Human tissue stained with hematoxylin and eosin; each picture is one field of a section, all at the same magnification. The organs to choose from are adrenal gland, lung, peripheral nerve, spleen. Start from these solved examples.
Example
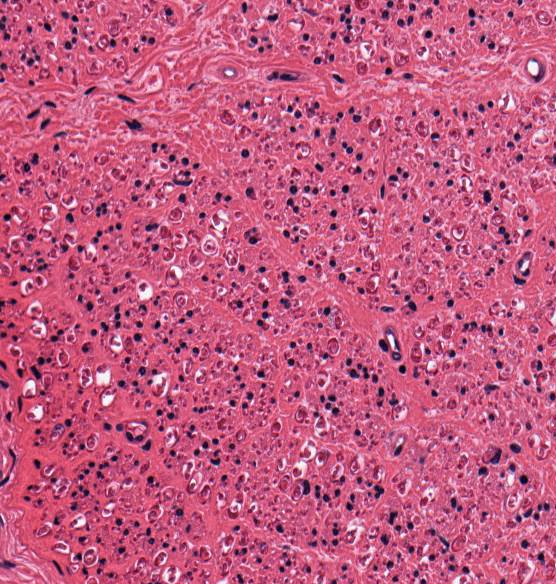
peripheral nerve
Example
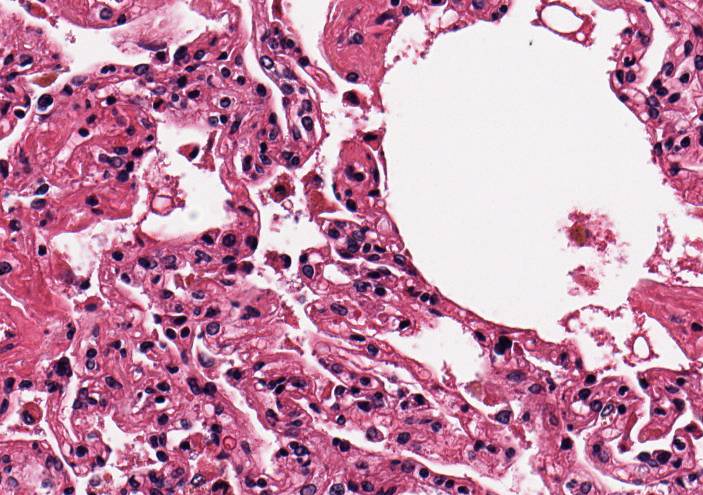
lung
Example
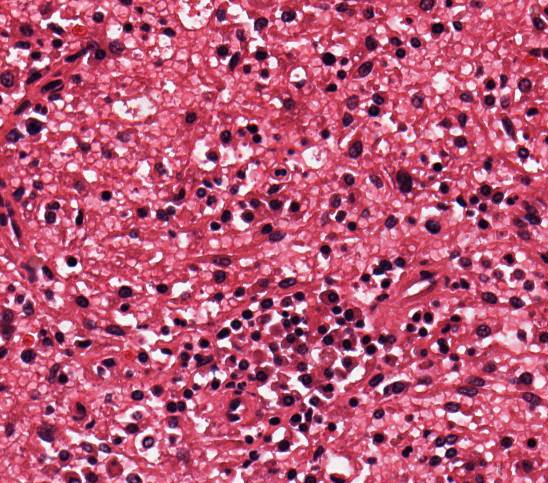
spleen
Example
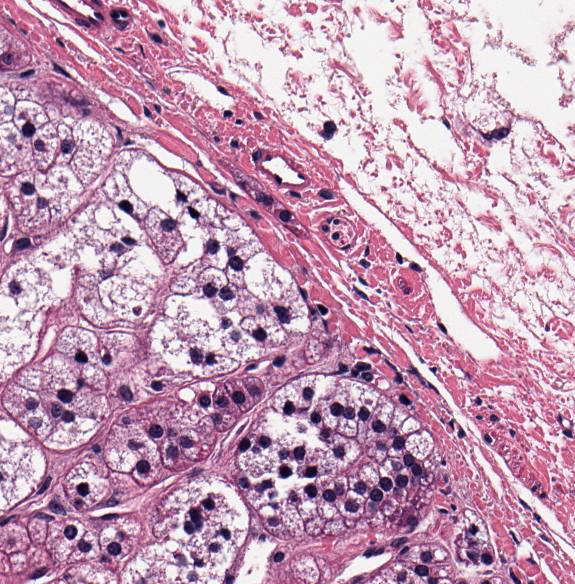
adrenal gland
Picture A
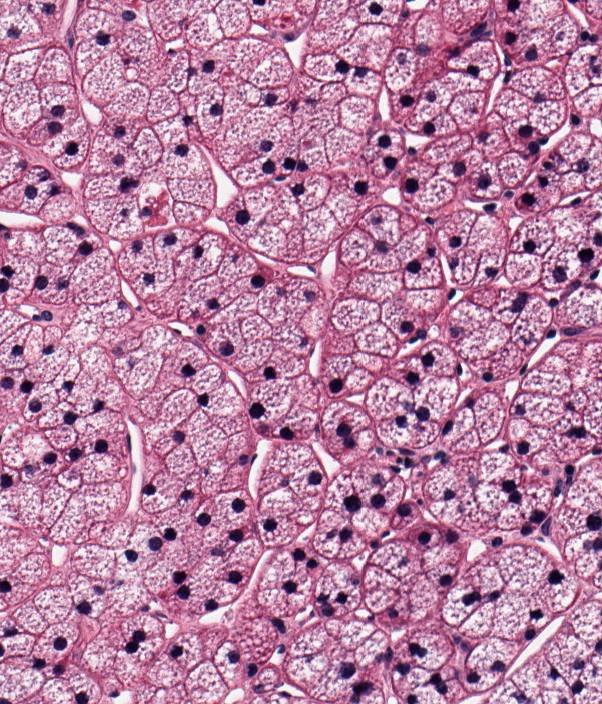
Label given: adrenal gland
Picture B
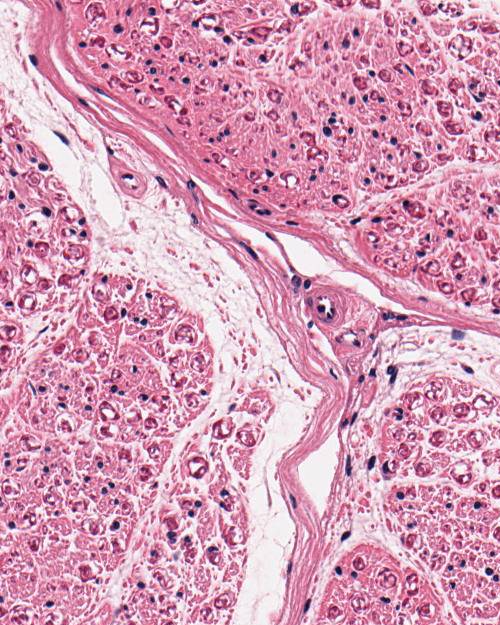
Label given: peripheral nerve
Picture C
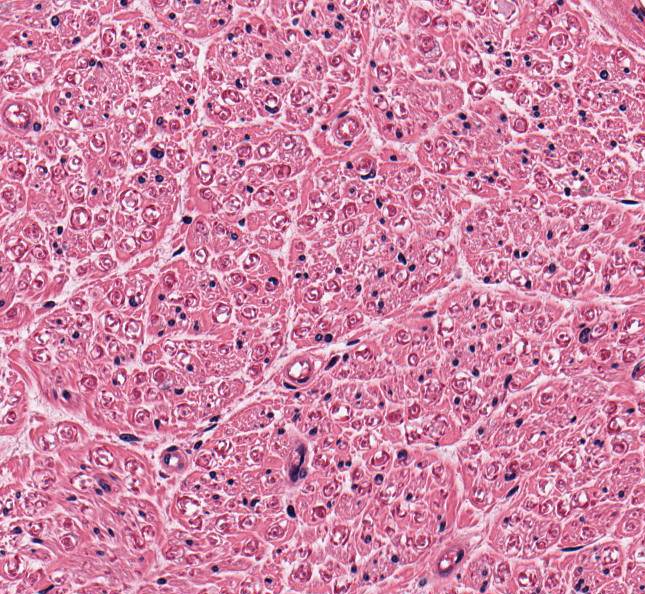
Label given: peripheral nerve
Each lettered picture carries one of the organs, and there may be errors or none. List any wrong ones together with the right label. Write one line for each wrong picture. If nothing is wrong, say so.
Nothing to fix; every label fits.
